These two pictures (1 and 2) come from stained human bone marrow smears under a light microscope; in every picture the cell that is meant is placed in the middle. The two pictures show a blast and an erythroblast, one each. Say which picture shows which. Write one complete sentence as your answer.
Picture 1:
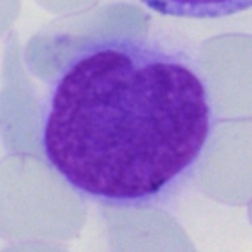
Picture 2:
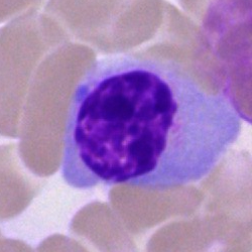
The cell in picture 1 is a blast, and the one in picture 2 is an erythroblast.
